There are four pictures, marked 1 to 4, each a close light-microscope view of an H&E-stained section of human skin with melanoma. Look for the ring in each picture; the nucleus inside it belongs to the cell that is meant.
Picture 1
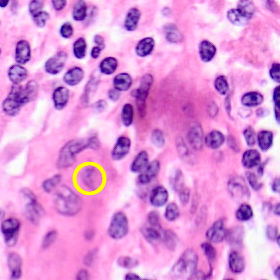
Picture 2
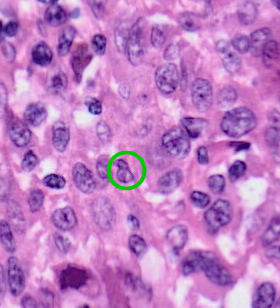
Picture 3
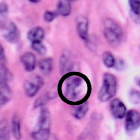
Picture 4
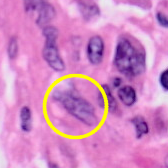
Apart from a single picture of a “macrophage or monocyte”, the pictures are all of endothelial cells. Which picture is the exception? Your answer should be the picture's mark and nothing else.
2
